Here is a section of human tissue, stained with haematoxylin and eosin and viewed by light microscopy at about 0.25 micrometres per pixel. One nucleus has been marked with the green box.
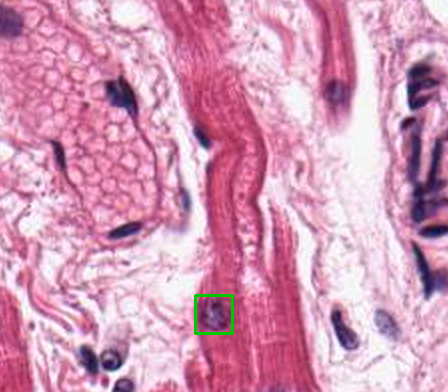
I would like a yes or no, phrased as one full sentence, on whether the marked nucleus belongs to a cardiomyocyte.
Yes, the marked nucleus is part of a cardiomyocyte.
